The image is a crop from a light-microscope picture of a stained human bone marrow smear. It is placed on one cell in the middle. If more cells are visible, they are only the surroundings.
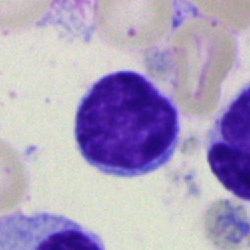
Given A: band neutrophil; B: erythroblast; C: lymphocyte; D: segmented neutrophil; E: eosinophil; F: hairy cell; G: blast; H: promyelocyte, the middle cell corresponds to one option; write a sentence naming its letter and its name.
Option C is the correct selection, for the cell at the centre is a lymphocyte.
